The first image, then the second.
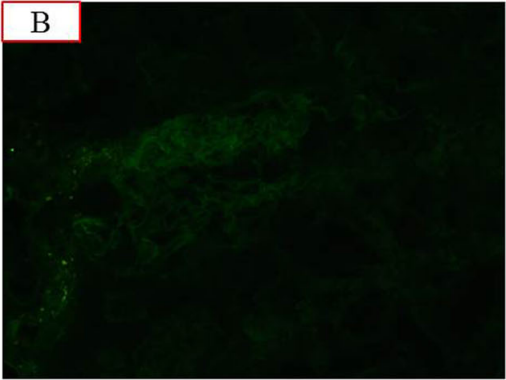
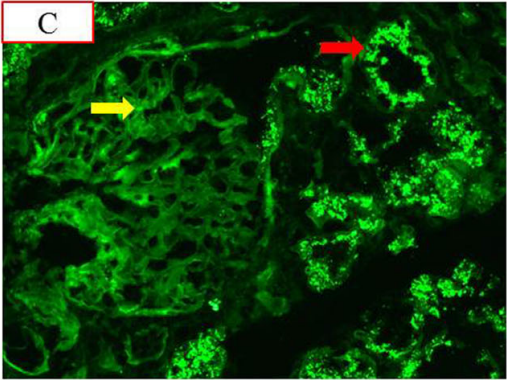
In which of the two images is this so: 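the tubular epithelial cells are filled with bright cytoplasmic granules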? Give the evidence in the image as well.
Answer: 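Second image: many tubular profiles are packed with bright green coarse granules.
Hence: the second image.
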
